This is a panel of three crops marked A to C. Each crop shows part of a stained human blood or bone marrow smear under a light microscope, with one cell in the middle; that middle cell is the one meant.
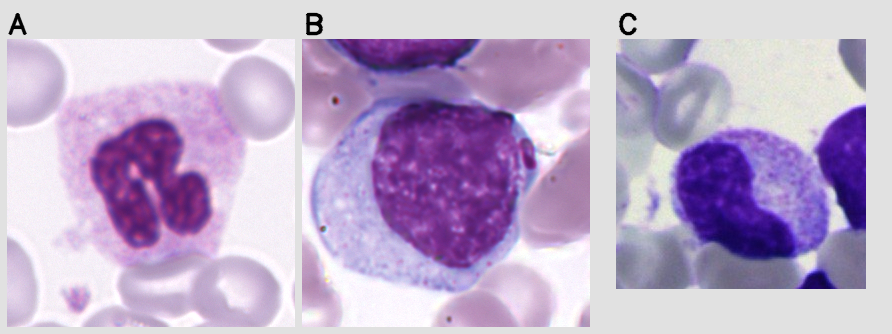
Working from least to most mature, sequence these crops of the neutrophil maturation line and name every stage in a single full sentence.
Maturity rises in the sequence crop B (a promyelocyte), crop C (a metamyelocyte) and crop A (a segmented neutrophil).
